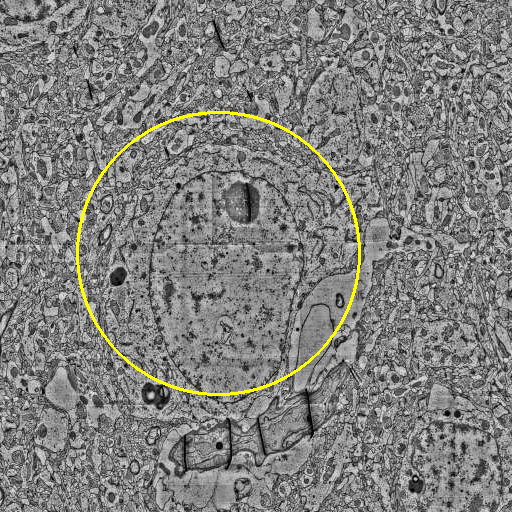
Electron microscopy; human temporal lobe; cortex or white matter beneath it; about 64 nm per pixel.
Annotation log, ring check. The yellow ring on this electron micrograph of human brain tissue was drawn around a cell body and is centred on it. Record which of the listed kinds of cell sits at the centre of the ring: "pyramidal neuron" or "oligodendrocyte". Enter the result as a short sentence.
The cell at the centre of the ring is a pyramidal neuron.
